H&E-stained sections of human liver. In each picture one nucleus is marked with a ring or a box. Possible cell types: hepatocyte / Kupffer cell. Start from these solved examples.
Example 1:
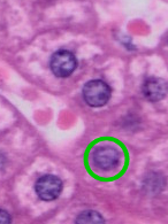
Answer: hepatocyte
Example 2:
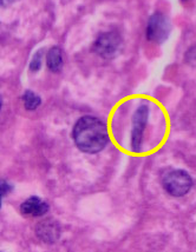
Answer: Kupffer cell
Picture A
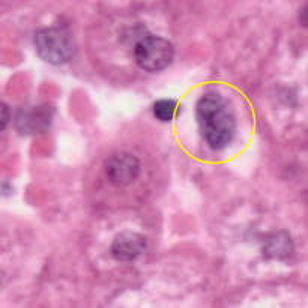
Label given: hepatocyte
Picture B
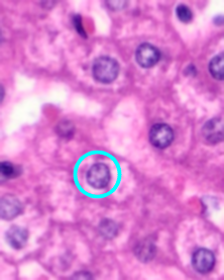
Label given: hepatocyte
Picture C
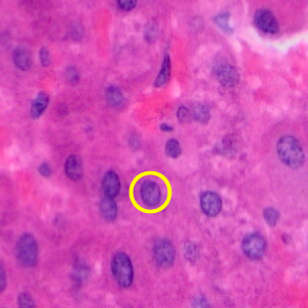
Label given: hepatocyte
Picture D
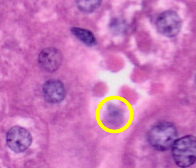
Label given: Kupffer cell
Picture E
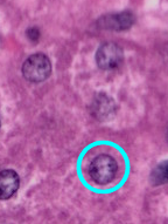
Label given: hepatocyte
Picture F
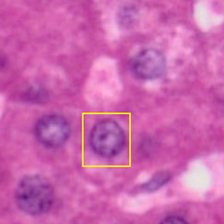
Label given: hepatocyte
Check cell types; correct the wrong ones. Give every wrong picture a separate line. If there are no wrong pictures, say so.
Wrong: A (hepatocyte); correct: Kupffer cell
